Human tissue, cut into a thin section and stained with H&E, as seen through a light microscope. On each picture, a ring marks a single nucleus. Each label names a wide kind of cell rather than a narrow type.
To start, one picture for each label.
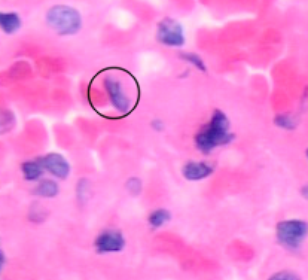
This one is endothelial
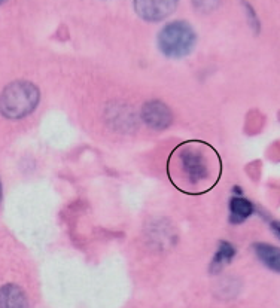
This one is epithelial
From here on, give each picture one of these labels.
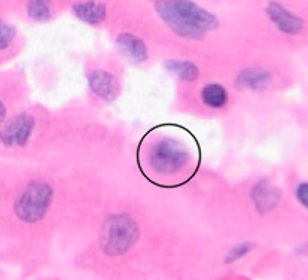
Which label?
epithelial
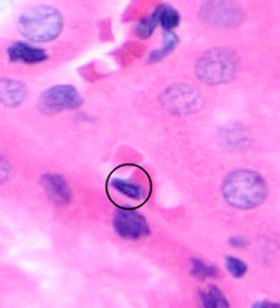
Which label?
endothelial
